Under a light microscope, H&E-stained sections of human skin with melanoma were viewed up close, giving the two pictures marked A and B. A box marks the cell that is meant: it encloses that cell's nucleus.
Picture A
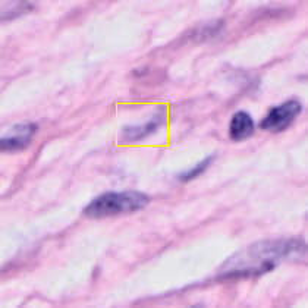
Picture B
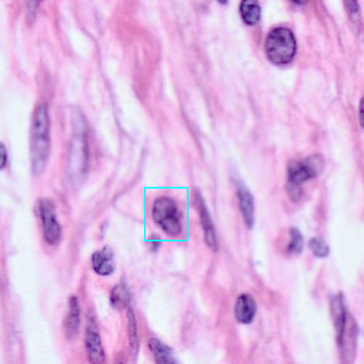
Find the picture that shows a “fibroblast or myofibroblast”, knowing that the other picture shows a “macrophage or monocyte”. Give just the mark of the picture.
A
